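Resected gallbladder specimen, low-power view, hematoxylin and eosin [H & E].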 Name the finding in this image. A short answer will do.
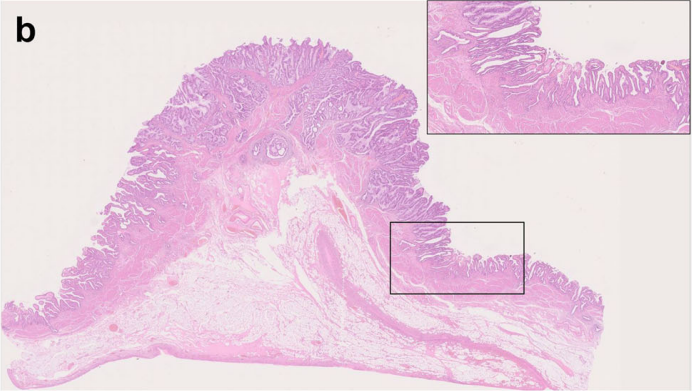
Protruding tumor with a tubulopapillary architecture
